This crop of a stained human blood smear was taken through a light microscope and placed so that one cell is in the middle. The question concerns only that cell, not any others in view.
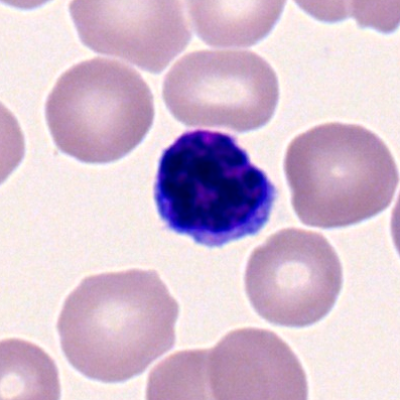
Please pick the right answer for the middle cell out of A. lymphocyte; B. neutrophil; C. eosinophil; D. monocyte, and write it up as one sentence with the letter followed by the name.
Option A is the keyed answer: the cell in the middle is a lymphocyte.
